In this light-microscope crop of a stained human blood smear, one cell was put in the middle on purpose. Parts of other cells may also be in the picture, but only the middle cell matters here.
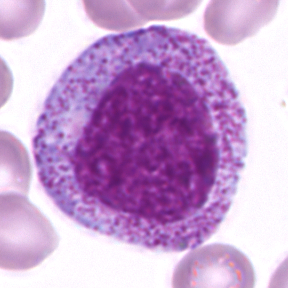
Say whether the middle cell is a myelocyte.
yes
